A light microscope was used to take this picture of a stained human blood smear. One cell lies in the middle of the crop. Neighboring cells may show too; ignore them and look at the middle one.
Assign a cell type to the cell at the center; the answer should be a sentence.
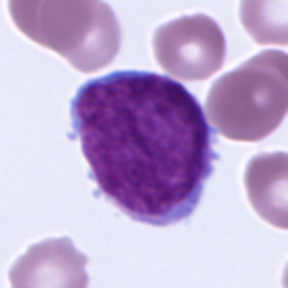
Here the cell in the middle is an atypical promyelocyte.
